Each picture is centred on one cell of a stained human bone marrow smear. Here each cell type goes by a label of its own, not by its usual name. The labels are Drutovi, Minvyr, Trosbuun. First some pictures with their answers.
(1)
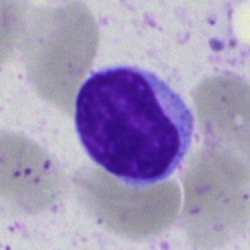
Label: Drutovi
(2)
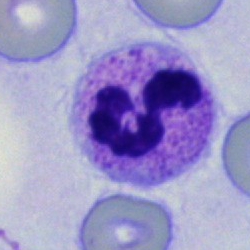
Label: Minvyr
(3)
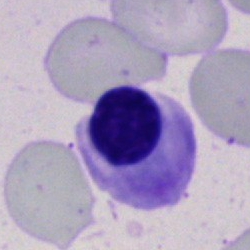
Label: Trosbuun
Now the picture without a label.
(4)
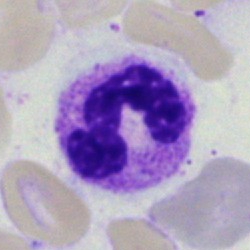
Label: Minvyr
